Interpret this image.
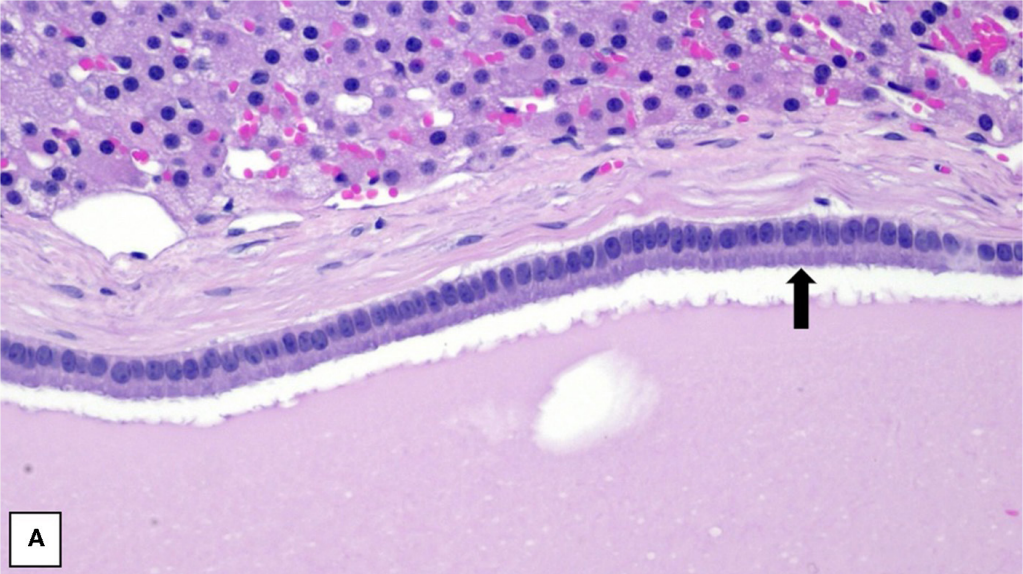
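Cyst wall lined by a single row of uniform tall columnar epithelial cells with evenly placed oval nuclei, resting on a thin band of wavy pink fibrous tissue. The cavity below holds pale pink homogeneous material. Above the fibrous band lie polygonal adrenal cortical cells with round dark nuclei and pale vacuolated cytoplasm among red-cell-filled vessels.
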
